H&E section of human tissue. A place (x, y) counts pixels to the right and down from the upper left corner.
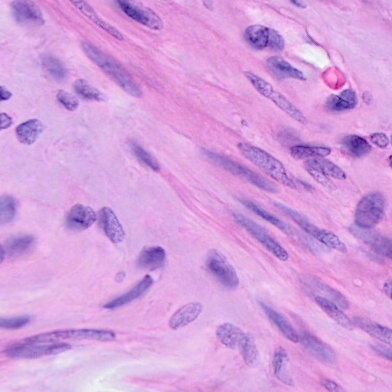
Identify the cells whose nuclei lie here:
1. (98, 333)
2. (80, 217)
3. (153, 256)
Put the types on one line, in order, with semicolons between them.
smooth muscle cell; fibroblast; fibroblast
